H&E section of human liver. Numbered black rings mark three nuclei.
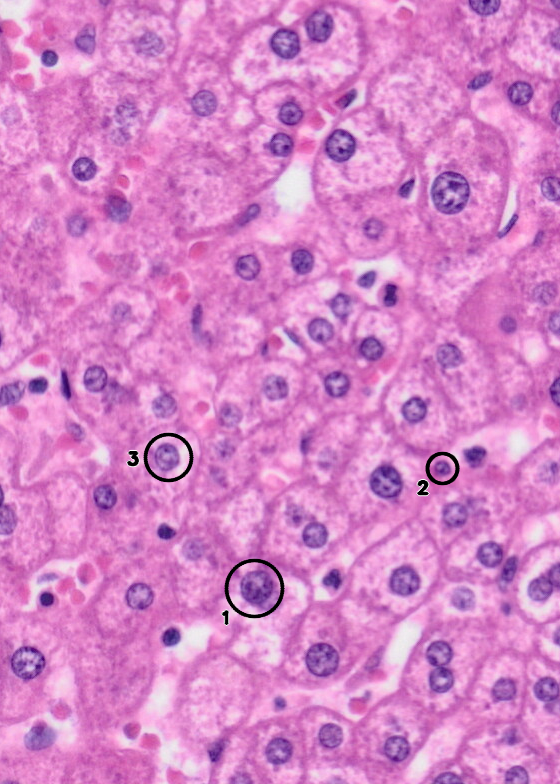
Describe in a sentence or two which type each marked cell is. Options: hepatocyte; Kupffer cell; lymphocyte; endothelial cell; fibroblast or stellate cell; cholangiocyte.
Cell 1 is a hepatocyte, cell 2 is a lymphocyte and cell 3 is a hepatocyte.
